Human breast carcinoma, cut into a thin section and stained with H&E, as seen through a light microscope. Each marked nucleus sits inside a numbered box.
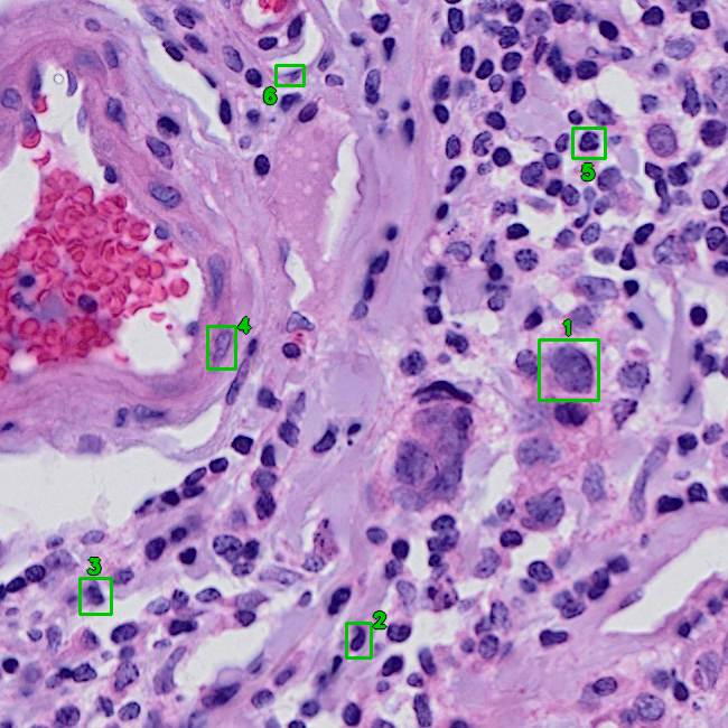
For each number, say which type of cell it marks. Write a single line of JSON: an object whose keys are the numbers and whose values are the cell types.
{"1": "carcinoma cell", "2": "lymphocyte", "3": "lymphocyte", "4": "endothelial cell", "5": "lymphocyte", "6": "lymphocyte"}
